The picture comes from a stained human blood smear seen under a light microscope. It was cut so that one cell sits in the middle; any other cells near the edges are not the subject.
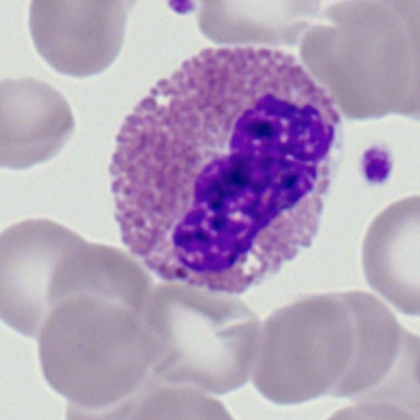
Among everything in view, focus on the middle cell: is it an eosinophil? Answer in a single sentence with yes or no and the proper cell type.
Yes, the cell placed centrally within the crop is an eosinophil.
